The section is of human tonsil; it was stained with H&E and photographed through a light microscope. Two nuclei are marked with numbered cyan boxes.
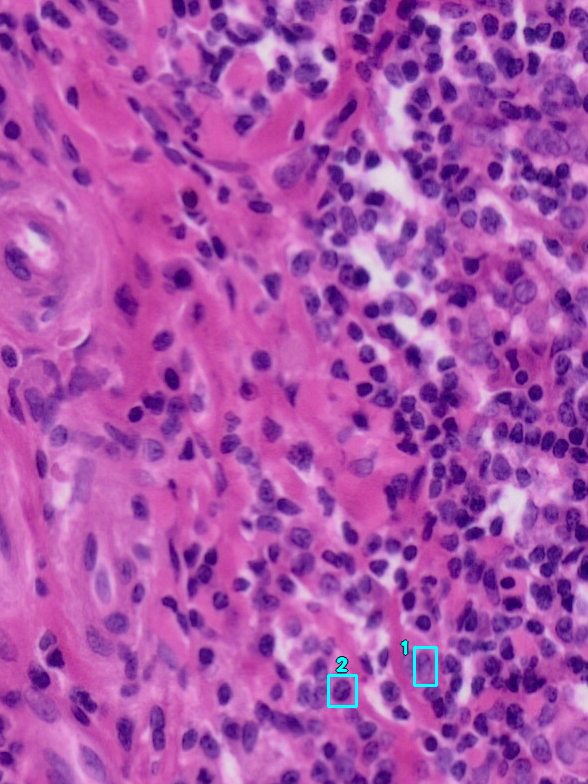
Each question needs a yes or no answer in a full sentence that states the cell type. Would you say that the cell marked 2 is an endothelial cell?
No, calling cell 2 an endothelial cell is incorrect; it is a plasma cell.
